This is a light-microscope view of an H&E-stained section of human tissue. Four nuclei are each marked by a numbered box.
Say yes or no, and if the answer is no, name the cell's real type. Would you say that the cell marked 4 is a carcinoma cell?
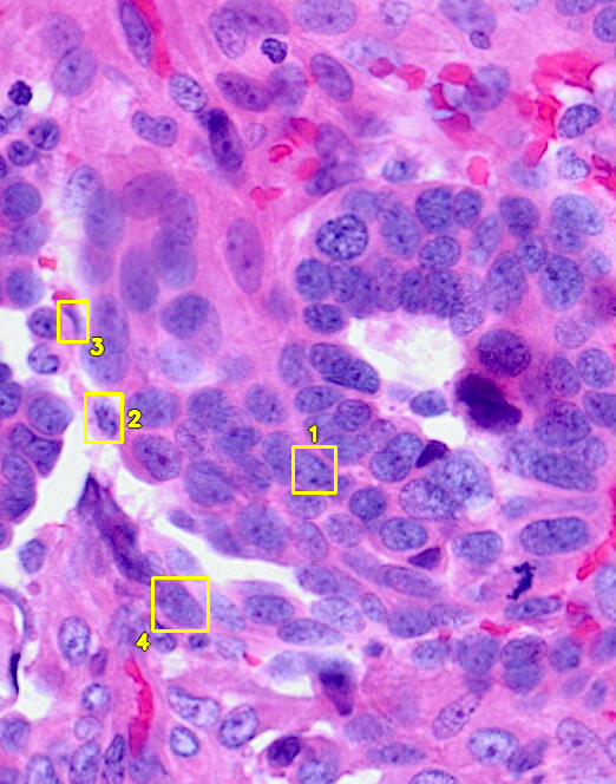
Yes.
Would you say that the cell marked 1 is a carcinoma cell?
Yes.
